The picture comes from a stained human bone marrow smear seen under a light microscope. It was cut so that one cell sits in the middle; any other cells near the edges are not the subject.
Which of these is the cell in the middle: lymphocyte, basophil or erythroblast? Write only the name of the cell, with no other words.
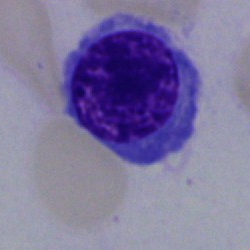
erythroblast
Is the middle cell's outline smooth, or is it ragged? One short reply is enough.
The perimeter of the cell is irregular, with ragged sections or outward projections.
